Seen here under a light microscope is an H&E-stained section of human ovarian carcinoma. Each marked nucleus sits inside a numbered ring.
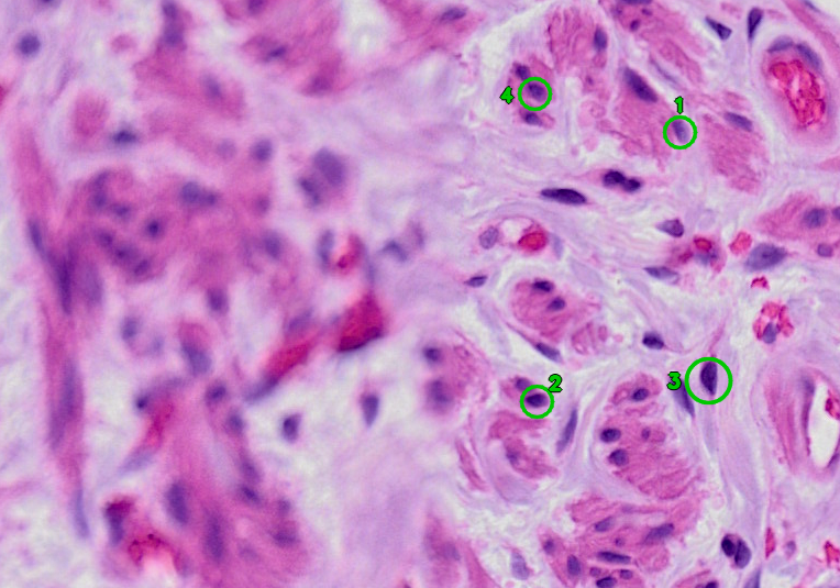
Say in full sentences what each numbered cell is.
Cells 1, 2 and 4 are smooth muscle cells. Cell 3 is a fibroblast.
